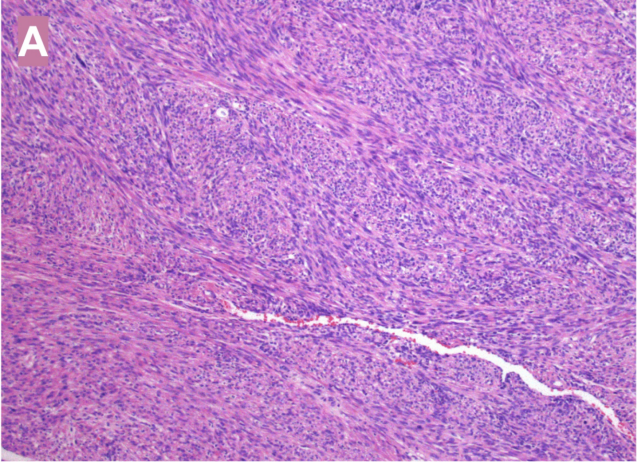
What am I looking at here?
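At low power this tumor is built of spindle cells arranged in long bundles that run in different directions and cross one another. The cells have pink cytoplasm and elongated dark nuclei, and the bundles are densely cellular throughout. A narrow cleft containing a few red blood cells runs across the lower part of the field.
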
